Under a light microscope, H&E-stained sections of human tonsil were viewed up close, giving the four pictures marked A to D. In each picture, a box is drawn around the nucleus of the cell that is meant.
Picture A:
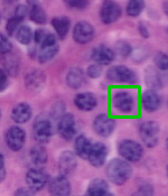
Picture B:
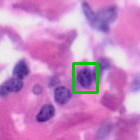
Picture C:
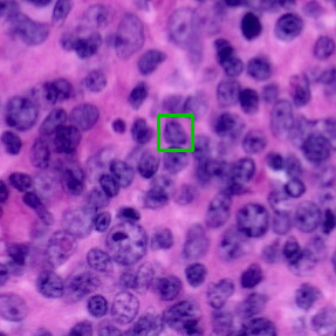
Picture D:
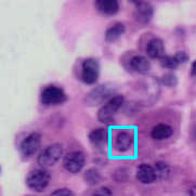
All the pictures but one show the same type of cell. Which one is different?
C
